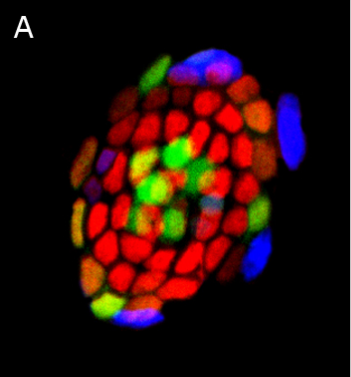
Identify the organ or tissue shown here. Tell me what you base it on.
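A compact, oval cluster of tightly packed cells. The cells form a rosette-like arrangement. Cells at the outer rim are elongated, while those in the centre are rounder.
Lateral line neuromast.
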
